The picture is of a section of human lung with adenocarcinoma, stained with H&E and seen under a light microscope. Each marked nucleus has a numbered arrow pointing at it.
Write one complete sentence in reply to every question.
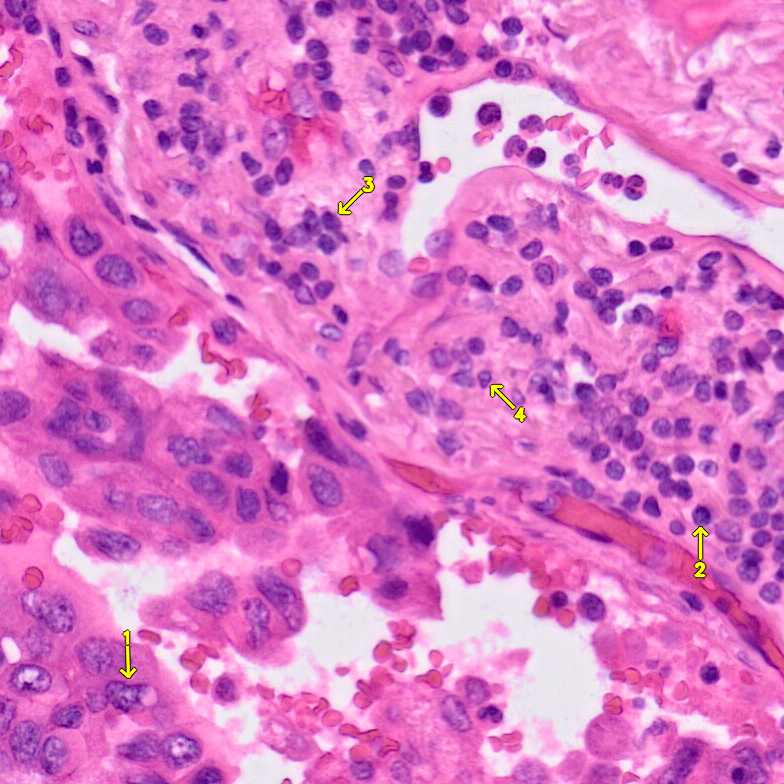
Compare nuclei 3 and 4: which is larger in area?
Nucleus 3 is the larger one, covering about 1.5 times the area of nucleus 4.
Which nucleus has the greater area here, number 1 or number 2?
Nucleus 1 is the larger one, covering about 3 times the area of nucleus 2.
